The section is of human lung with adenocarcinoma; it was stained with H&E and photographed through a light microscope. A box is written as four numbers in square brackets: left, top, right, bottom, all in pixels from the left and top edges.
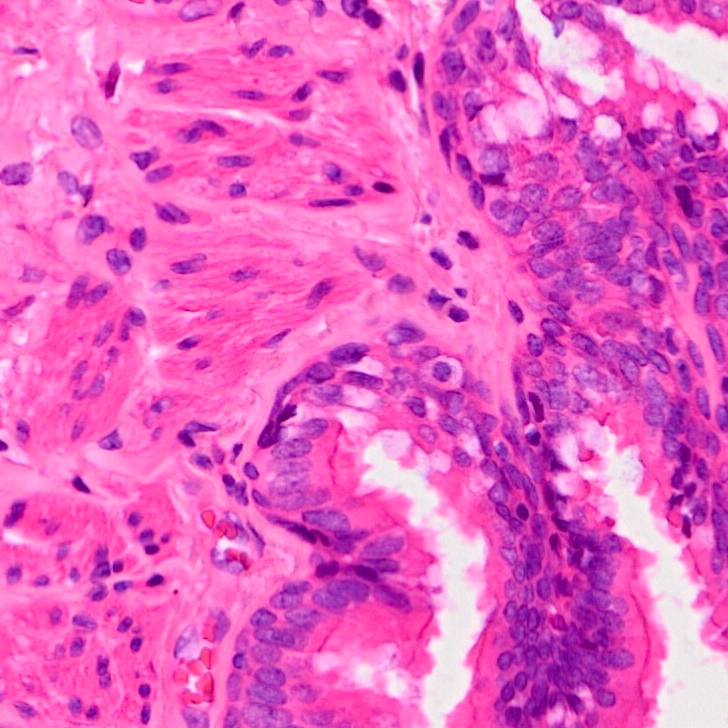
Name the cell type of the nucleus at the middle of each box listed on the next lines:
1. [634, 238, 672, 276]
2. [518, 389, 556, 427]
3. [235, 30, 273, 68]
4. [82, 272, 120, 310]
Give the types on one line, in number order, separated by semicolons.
ciliated epithelial cell; ciliated epithelial cell; smooth muscle cell or pericyte; smooth muscle cell or pericyte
